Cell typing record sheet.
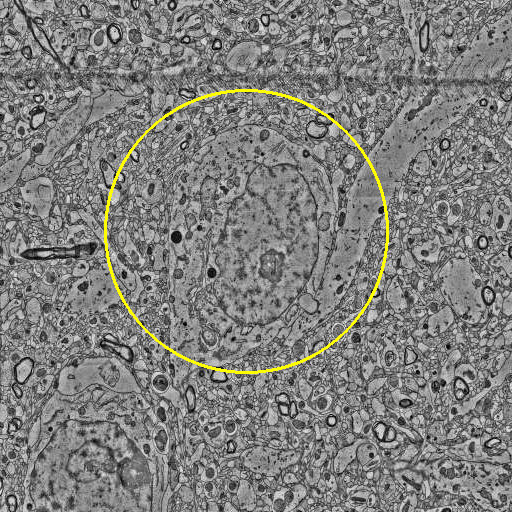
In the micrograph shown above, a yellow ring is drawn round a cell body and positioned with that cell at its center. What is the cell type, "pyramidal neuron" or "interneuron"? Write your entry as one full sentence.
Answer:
The cell body at the center of the ring belongs to an interneuron.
